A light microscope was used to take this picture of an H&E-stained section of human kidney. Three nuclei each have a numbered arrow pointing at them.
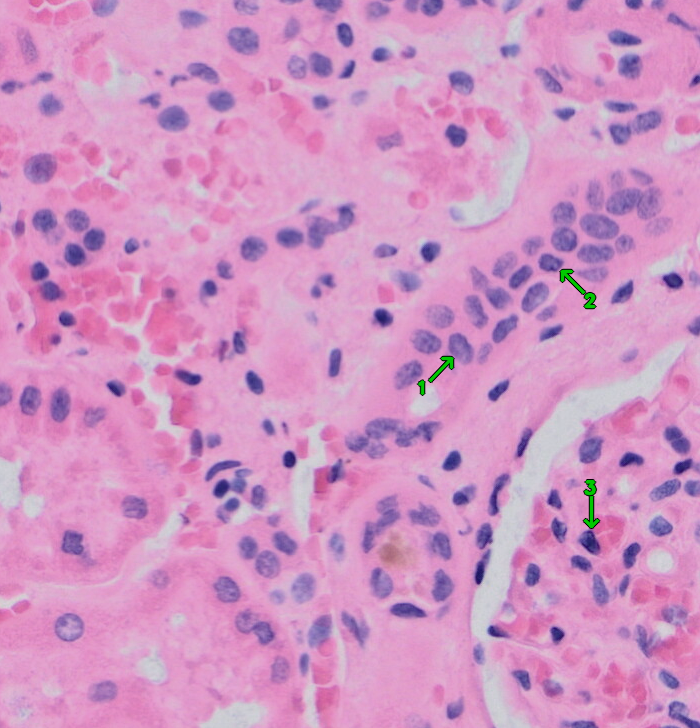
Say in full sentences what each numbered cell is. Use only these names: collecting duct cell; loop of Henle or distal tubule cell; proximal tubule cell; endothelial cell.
Cell 1 is a collecting duct cell, cell 2 is a collecting duct cell and cell 3 is an endothelial cell.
